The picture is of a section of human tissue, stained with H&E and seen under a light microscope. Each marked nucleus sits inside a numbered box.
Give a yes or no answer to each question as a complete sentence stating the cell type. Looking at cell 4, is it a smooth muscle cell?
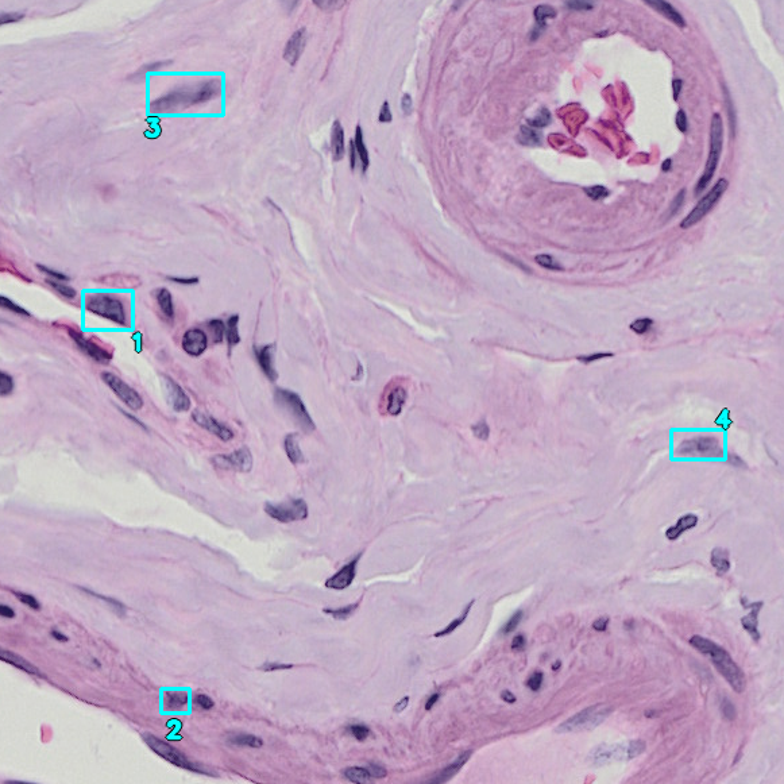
No, the cell carrying number 4 is a fibroblast, not a smooth muscle cell.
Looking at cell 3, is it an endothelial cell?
No, the cell at marker 3 is not an endothelial cell; it is a fibroblast.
